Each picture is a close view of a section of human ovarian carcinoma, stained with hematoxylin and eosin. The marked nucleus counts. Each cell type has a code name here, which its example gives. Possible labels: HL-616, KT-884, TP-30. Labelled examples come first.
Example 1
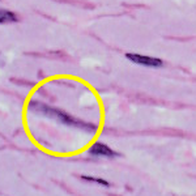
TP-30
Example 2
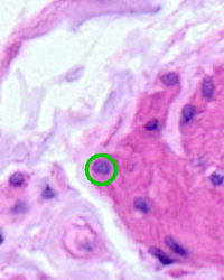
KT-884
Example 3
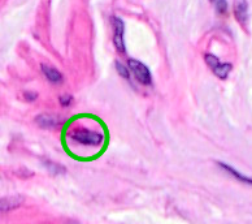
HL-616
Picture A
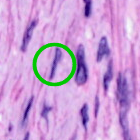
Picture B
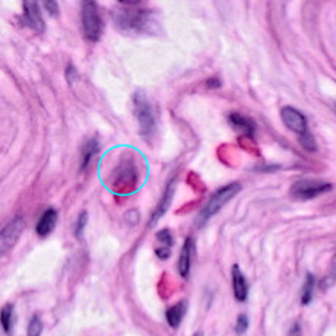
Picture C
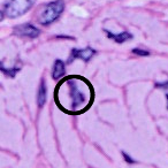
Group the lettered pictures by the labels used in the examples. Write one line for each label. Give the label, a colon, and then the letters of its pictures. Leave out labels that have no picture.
HL-616: B
TP-30: A, C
